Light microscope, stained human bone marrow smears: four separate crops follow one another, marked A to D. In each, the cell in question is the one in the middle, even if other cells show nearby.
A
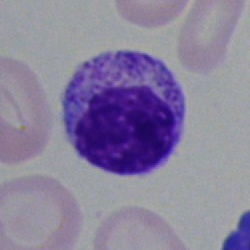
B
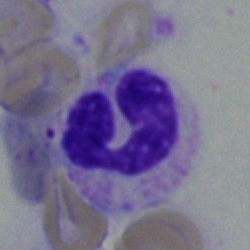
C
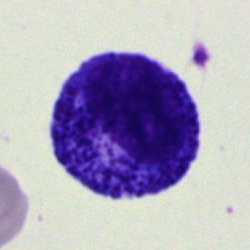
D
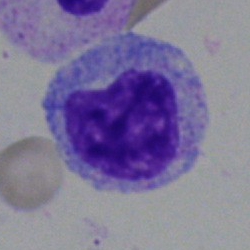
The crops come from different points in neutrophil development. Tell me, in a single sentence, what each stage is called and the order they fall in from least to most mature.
Ordering these by maturity, least mature first, yields crop C (a promyelocyte), crop A (a myelocyte), crop D (a metamyelocyte) and crop B (a band neutrophil).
